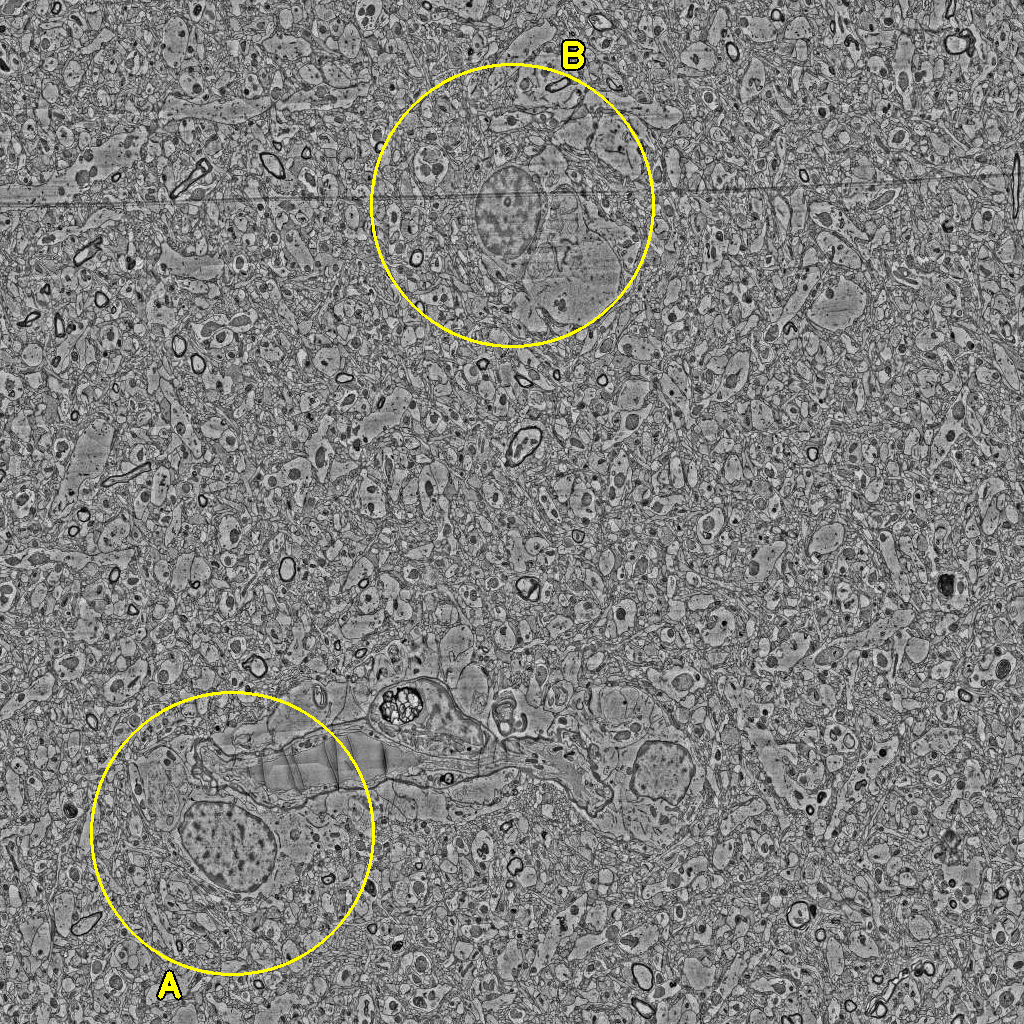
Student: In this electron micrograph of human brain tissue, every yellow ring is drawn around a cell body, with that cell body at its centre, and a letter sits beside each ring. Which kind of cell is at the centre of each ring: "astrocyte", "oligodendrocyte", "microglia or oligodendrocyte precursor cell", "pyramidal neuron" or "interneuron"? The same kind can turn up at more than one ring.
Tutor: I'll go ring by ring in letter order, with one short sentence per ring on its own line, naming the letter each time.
Ring A: the cell at its centre is a microglial cell or oligodendrocyte precursor cell.
Ring B: the cell at its centre is an oligodendrocyte.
